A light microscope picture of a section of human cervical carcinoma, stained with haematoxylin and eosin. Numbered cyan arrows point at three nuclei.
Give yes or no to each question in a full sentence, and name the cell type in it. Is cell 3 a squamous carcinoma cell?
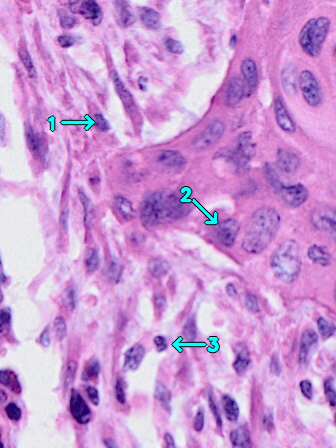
No, the one with number 3 is a lymphocyte, not a squamous carcinoma cell.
